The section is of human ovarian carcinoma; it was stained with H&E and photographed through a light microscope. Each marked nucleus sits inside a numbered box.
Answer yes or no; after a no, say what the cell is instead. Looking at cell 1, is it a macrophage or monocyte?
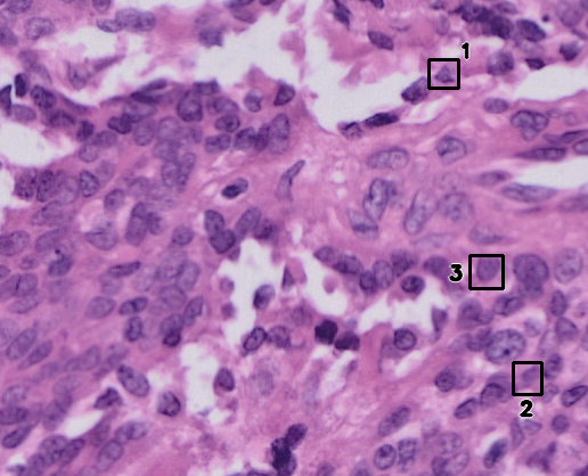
Yes.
